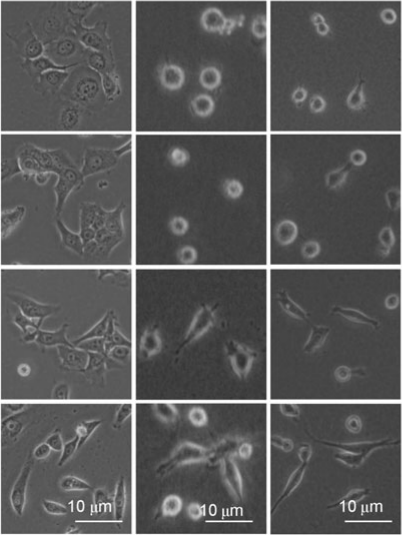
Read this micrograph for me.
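In the left column the cells lie flat and spread, polygonal to spindle-shaped, often touching one another in small sheets, with nuclei and dark nucleoli visible inside a thin grey cytoplasm. In the middle and right columns most cells are small, round and isolated, each ringed by a bright halo, which is typical of cells that sit up rather than spreading on a flat surface. Some cells in the lower rows of the middle and right columns are instead stretched into elongated spindle or bipolar shapes with thin tapering extensions.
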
